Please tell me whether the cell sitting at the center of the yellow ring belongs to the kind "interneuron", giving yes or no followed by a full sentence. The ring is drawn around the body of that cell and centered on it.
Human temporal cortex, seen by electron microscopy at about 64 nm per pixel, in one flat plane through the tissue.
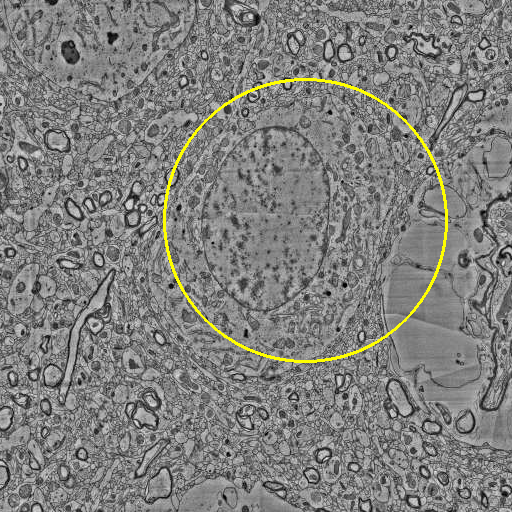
Yes, the cell at the center of the ring in the picture is of that kind.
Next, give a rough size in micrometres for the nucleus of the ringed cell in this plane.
The nucleus has a long axis of about 12 micrometres and a short axis of about 9 micrometres in this plane.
